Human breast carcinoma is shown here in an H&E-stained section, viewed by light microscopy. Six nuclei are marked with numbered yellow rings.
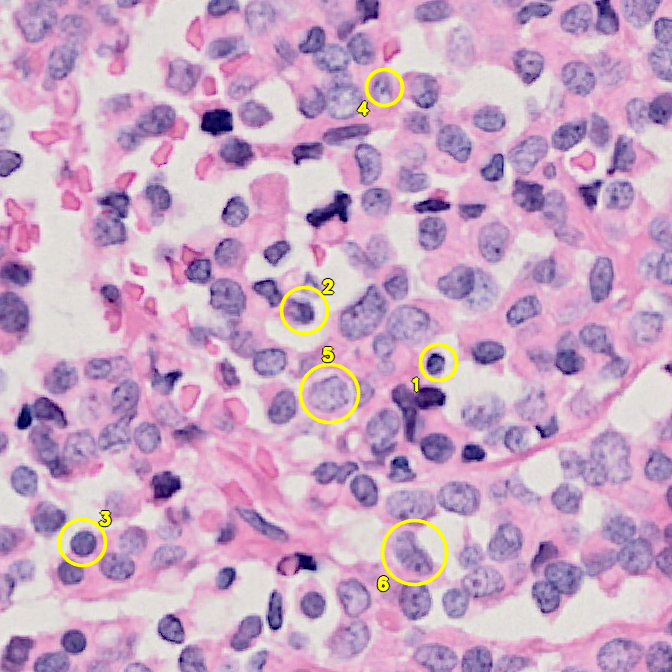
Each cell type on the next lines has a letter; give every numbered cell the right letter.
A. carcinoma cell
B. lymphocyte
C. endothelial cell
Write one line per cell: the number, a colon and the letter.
1: B
2: A
3: A
4: C
5: A
6: A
